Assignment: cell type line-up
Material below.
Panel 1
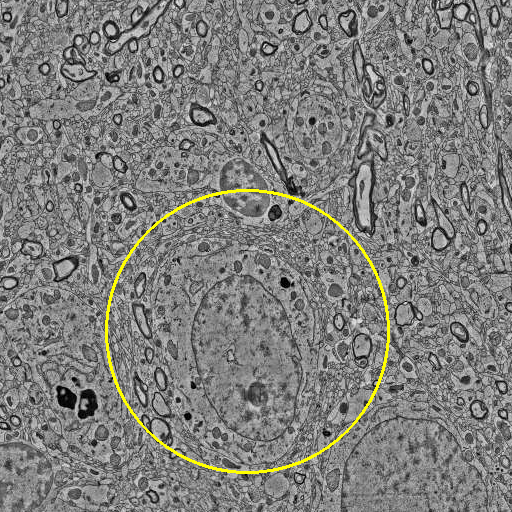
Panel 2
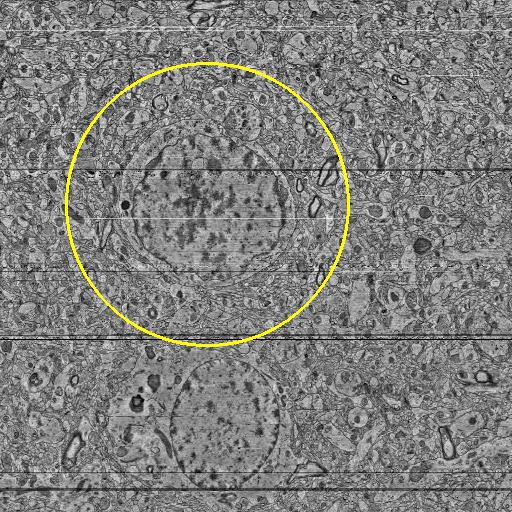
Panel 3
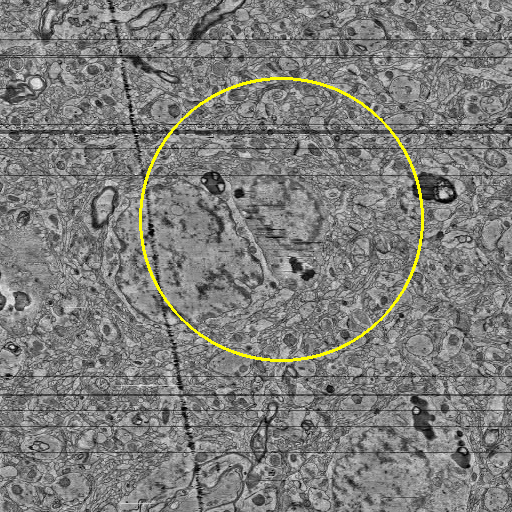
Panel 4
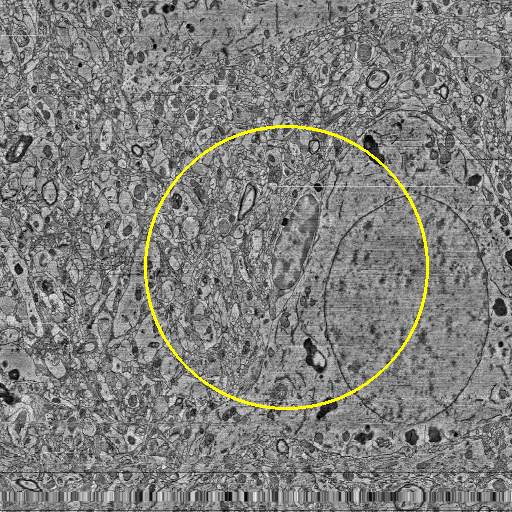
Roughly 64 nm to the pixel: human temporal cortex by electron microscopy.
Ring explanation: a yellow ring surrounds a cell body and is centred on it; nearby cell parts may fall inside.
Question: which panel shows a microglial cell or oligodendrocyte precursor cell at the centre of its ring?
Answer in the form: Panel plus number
Panel 4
